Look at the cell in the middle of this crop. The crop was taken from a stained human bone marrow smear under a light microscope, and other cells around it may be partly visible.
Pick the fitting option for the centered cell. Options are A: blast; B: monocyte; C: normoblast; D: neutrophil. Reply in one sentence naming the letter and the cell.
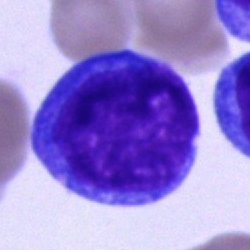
The expected answer is option A, the central cell being a blast.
